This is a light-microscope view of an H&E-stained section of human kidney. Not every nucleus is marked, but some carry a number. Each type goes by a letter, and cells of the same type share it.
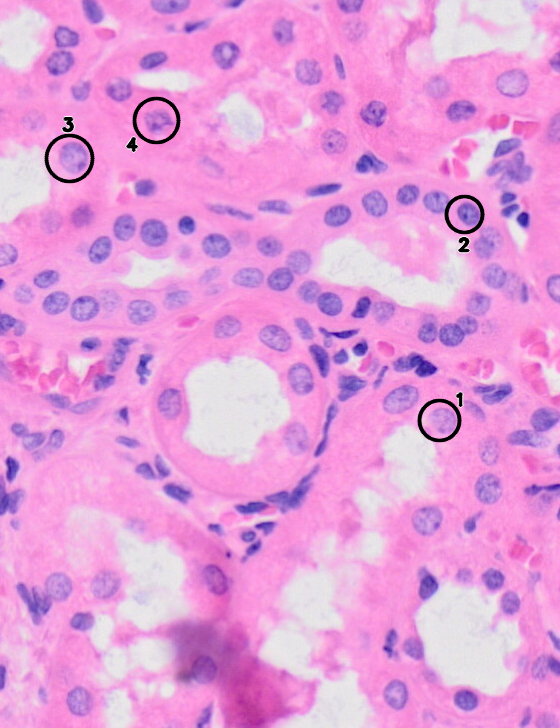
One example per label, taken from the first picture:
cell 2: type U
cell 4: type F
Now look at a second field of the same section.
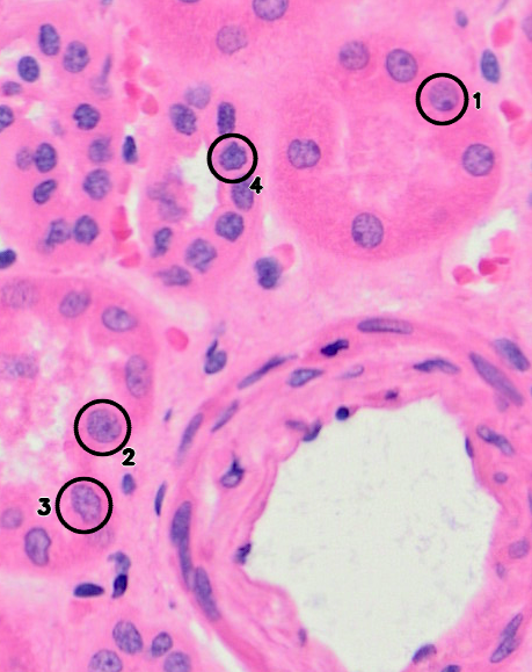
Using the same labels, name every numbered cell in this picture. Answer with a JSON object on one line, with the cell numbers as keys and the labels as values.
{"1": "type F", "2": "type F", "3": "type F", "4": "type U"}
